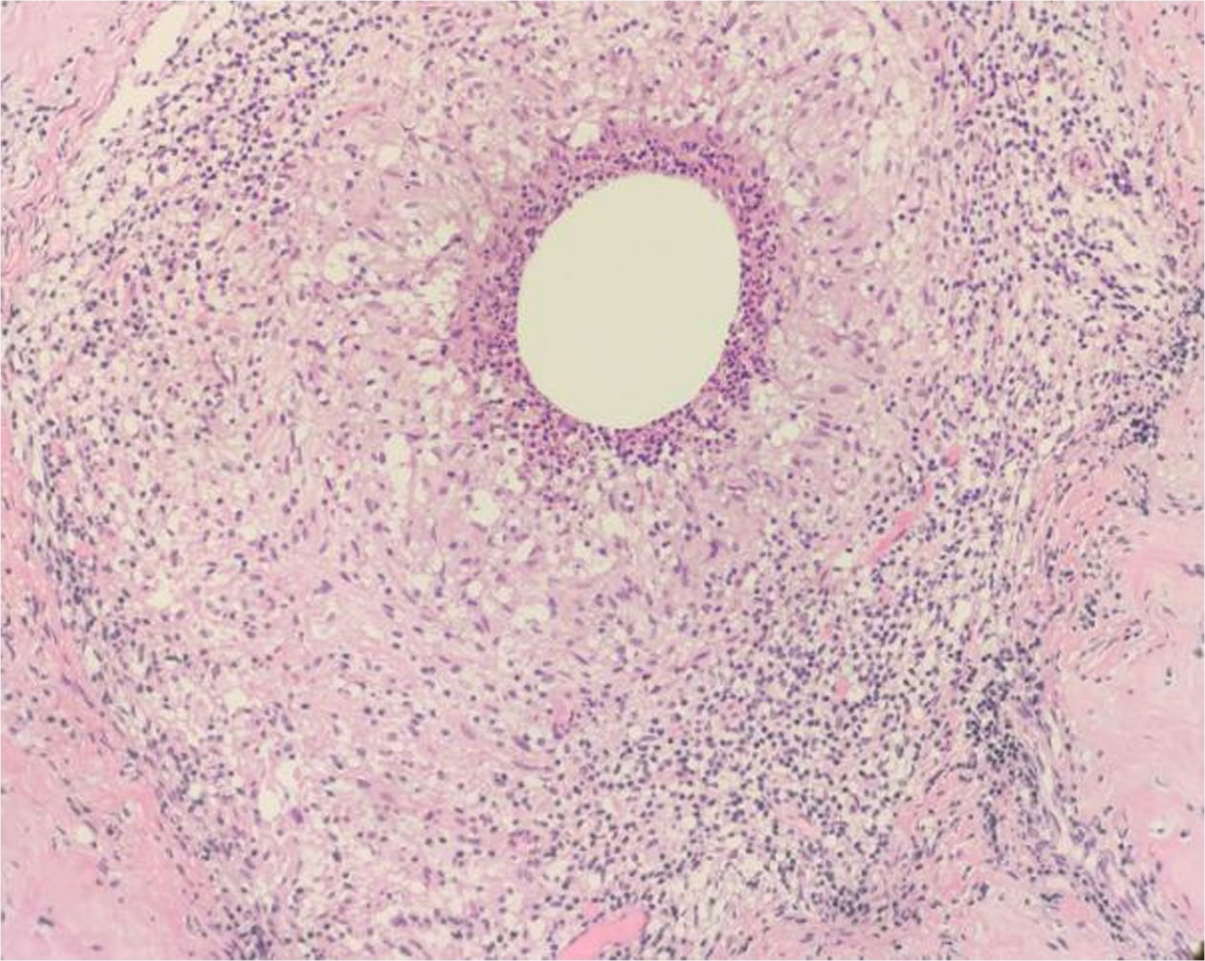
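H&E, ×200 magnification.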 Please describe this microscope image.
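A granuloma of epithelioid cells is seen, lying within pink fibrous tissue and centred on a large round empty space. This space is closely rimmed by a dense band of small cells with dark nuclei. These are neutrophils. Around this lies a broad zone of pale pink epithelioid cells with oval to elongated nuclei, mixed with many small clear holes. Toward the edges the aggregate is crowded with small round cells with dark nuclei, mostly lymphocytes with plasma cells. These merge into the surrounding dense pink collagen.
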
